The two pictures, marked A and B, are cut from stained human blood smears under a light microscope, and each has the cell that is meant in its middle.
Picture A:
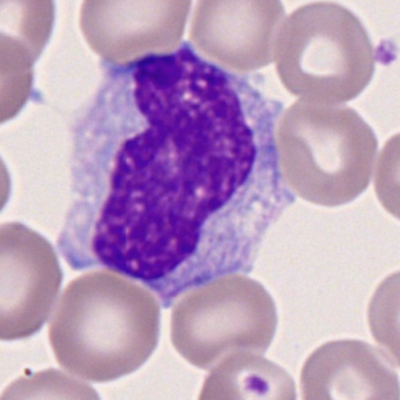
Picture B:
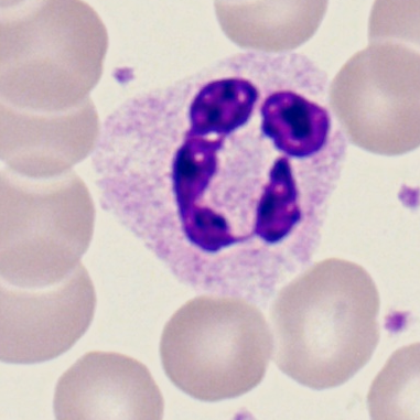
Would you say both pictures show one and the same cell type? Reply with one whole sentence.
No. Picture A shows a monocyte, but picture B shows a segmented neutrophil.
